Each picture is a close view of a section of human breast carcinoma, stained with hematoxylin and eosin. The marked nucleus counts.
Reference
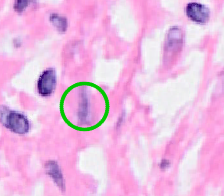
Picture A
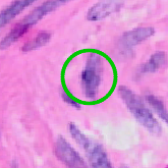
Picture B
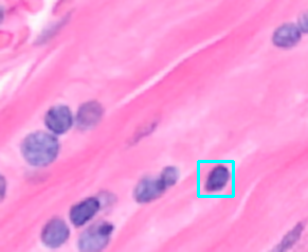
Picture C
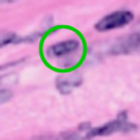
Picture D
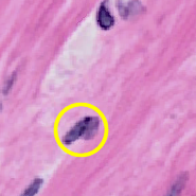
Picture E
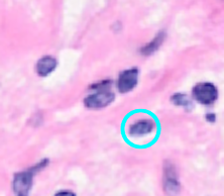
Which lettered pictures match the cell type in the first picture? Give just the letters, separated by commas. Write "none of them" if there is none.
none of them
